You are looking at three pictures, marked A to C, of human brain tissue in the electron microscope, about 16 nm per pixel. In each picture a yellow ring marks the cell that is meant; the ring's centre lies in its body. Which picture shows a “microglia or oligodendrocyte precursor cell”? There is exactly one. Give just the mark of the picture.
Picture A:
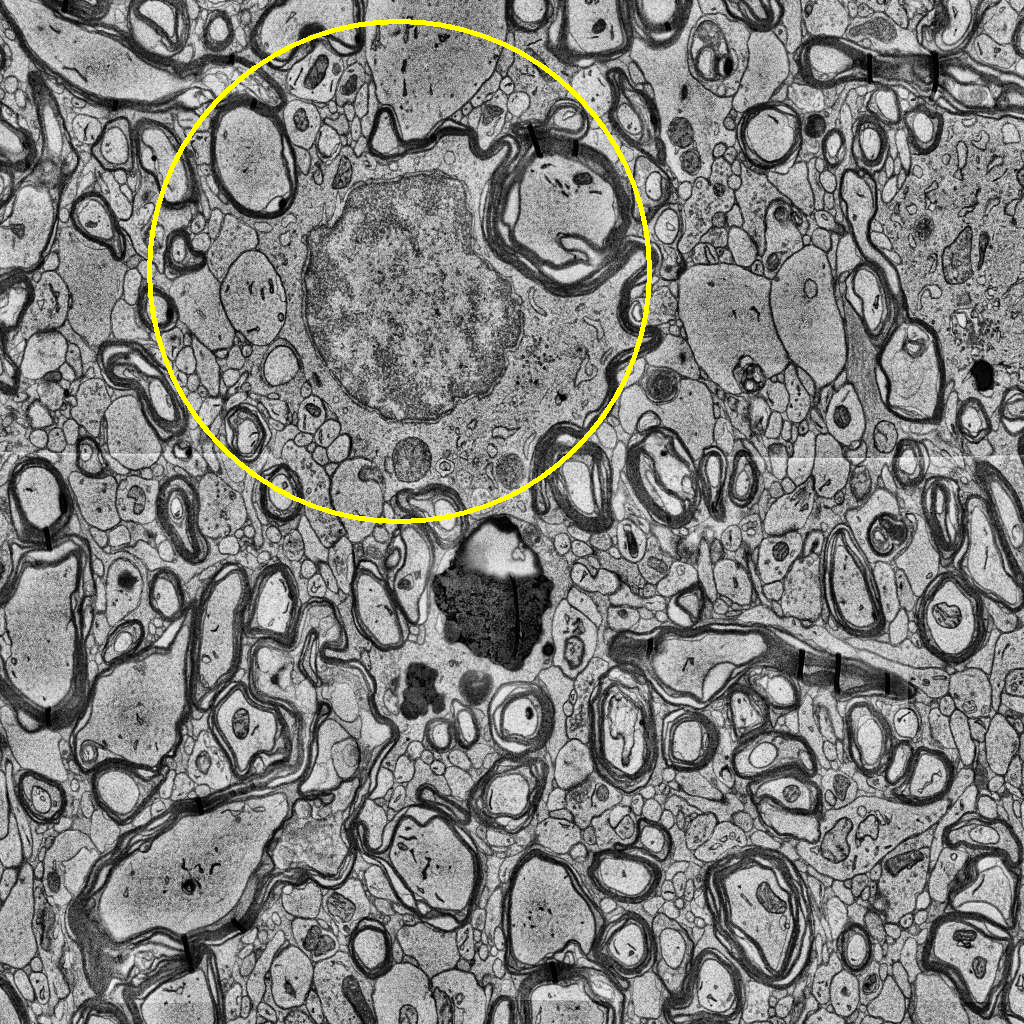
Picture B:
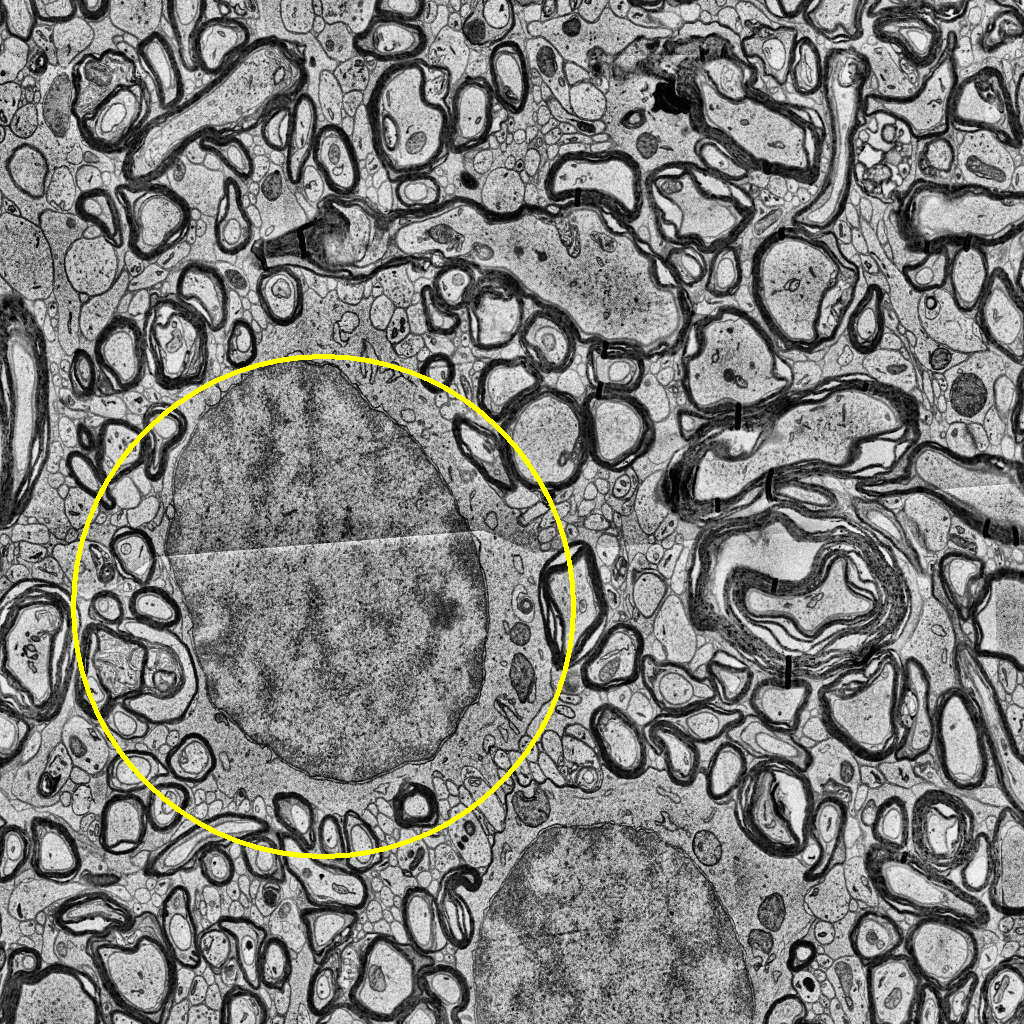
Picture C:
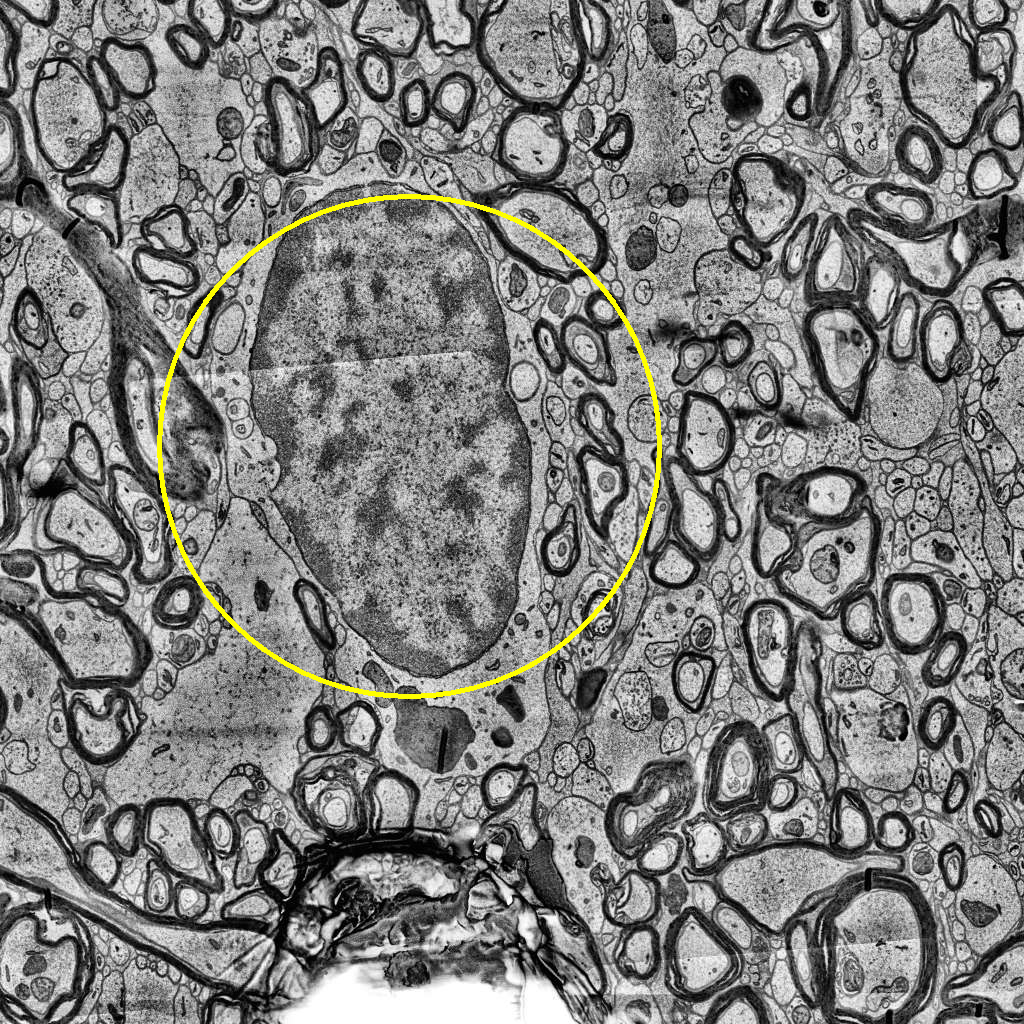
C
